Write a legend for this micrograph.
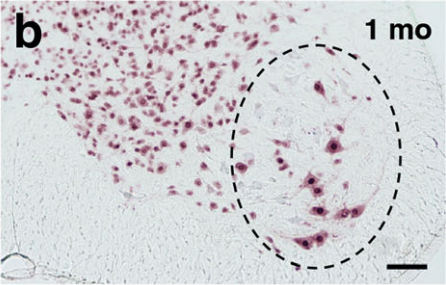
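This is the ventral horn of the spinal cord, with large motor neurons gathered in a cluster near the lateral edge of the grey matter. These motor neurons have big polygonal cell bodies with darkly stained nuclei and visible tapering processes running out from the soma. Towards the medial and dorsal part of the field lie many much smaller stained neurons, densely packed and mostly round. The surrounding white matter is pale and almost unstained, giving a clear border to the grey matter.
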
